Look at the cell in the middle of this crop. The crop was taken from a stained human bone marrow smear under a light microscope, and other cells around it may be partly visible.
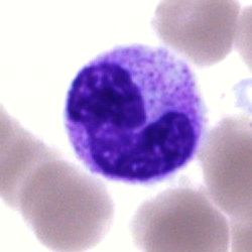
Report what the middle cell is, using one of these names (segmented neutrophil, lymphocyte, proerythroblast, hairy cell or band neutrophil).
segmented neutrophil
